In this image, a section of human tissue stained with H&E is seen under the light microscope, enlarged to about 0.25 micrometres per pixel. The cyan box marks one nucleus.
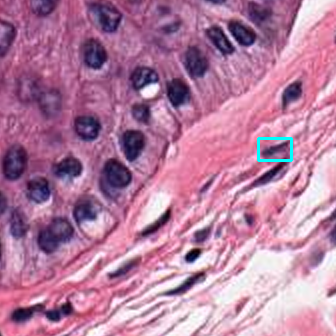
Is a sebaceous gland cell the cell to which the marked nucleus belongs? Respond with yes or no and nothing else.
no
